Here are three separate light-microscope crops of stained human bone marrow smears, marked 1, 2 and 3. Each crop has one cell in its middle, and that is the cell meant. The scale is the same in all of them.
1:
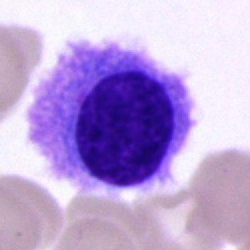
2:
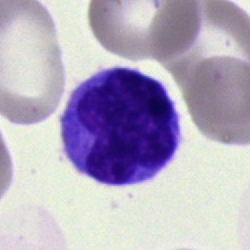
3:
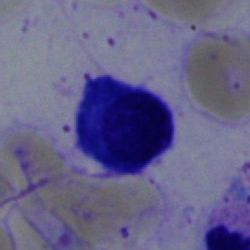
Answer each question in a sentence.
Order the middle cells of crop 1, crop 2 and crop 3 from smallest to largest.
Going up, they run 3, 2, 1.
